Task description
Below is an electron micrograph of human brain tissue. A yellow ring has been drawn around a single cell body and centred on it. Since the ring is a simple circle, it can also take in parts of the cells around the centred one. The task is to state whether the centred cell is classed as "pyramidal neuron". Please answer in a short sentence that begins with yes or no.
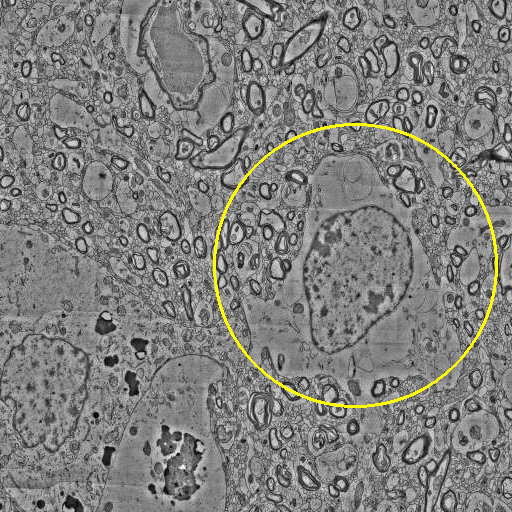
No, the centred cell is classed otherwise.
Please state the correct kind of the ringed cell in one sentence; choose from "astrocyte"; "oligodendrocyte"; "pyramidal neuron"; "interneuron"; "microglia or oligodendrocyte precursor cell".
Instead, the cell inside the ring is an astrocyte.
